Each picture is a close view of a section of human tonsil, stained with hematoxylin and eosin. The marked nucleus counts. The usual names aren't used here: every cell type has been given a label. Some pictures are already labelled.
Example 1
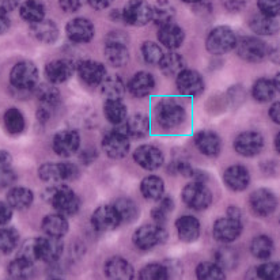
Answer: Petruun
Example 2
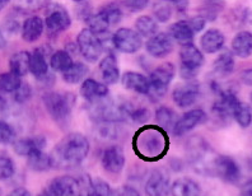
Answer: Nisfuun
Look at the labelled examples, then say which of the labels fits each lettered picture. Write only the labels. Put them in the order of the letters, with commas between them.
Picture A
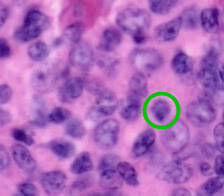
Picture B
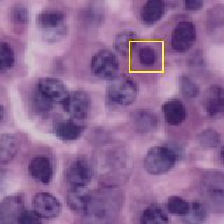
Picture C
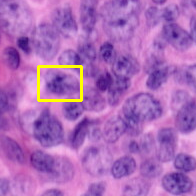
Nisfuun, Petruun, Nisfuun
